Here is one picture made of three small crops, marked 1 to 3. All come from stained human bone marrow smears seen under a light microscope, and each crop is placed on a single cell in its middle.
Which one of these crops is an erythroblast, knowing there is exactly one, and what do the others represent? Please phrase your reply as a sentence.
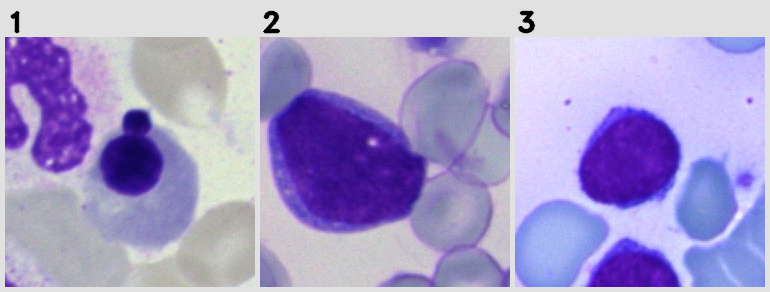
In the crop designated 1, the cell is an erythroblast, while crop 2 is a blast and crop 3 is a lymphocyte.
